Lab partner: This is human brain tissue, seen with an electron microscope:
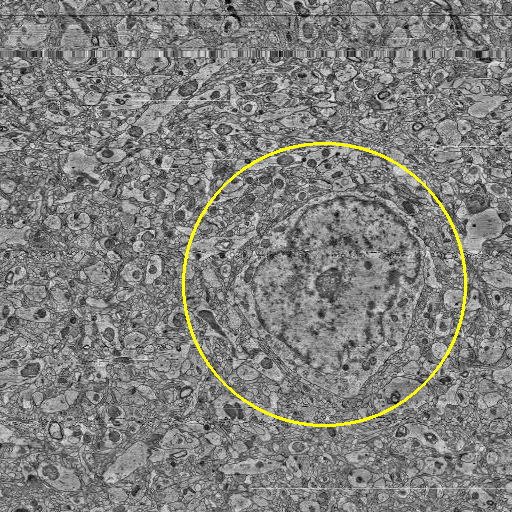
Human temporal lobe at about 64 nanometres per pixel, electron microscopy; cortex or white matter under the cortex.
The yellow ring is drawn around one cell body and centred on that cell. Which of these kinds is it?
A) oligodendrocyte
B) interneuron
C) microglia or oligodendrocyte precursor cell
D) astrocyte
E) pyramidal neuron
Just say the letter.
B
